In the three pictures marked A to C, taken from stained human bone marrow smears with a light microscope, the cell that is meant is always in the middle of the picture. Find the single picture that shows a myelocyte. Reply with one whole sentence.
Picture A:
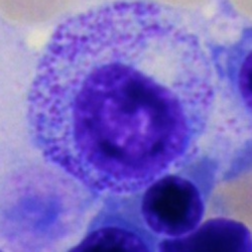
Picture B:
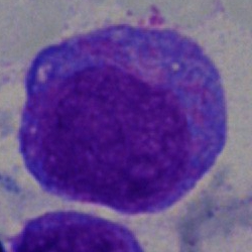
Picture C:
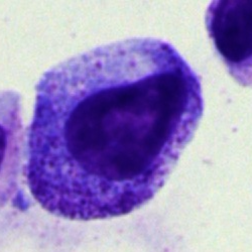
Picture A shows the myelocyte.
